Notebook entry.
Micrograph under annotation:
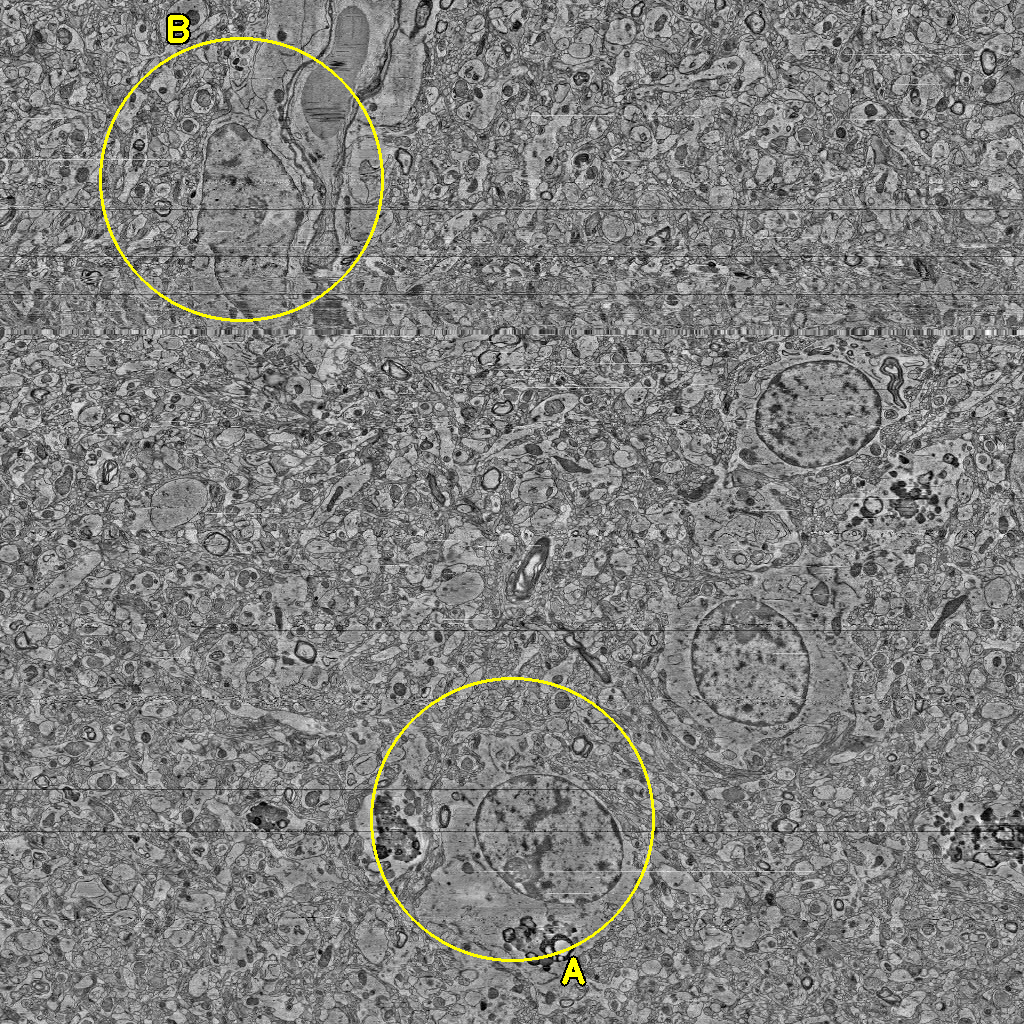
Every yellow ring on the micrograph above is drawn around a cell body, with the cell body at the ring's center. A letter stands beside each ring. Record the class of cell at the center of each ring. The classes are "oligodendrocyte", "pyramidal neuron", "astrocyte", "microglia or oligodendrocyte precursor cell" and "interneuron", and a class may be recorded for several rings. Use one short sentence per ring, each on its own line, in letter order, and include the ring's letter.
Ring A is centered on an astrocyte.
Ring B is centered on a microglial cell or oligodendrocyte precursor cell.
